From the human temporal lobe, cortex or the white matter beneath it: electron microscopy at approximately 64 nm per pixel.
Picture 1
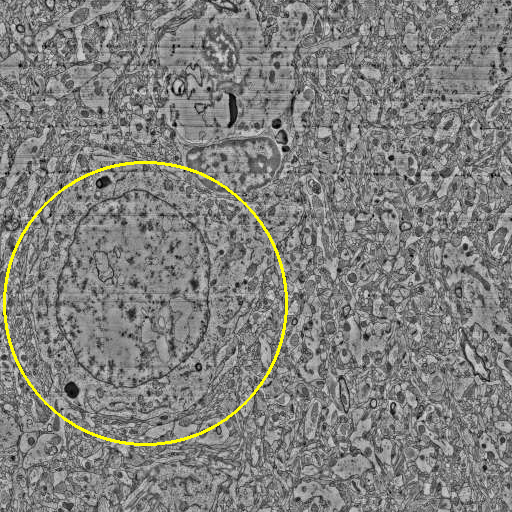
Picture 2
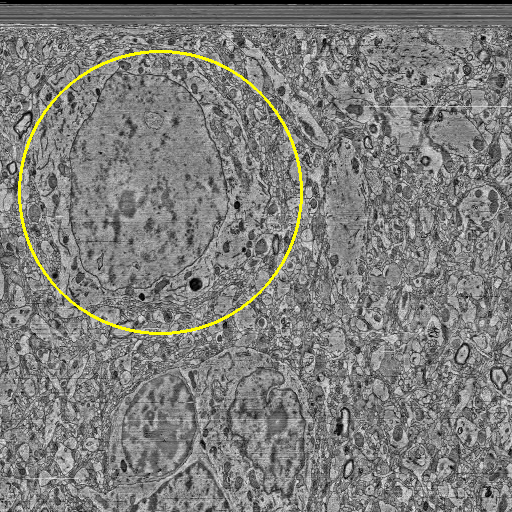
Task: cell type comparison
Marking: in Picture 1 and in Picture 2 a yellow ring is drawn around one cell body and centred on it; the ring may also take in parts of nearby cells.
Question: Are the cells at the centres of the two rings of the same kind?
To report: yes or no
yes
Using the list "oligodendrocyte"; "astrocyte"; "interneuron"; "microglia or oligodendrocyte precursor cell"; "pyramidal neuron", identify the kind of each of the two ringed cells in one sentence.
Both cells are the same kind, each one being a pyramidal neuron.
